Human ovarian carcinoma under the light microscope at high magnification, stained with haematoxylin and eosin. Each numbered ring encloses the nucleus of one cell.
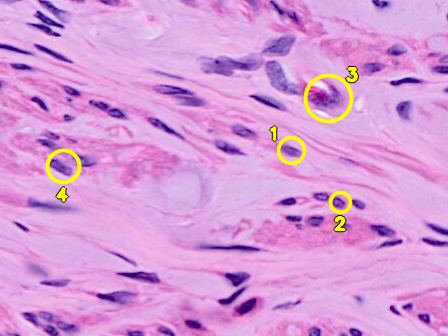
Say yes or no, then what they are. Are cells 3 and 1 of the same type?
No, the cell numbered 3 is an endothelial cell and the cell numbered 1 is a smooth muscle cell.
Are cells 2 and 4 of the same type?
Yes, cells 2 and 4 are both recognised as smooth muscle cells.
